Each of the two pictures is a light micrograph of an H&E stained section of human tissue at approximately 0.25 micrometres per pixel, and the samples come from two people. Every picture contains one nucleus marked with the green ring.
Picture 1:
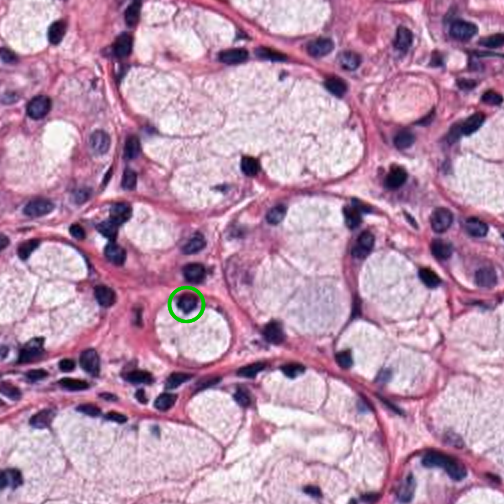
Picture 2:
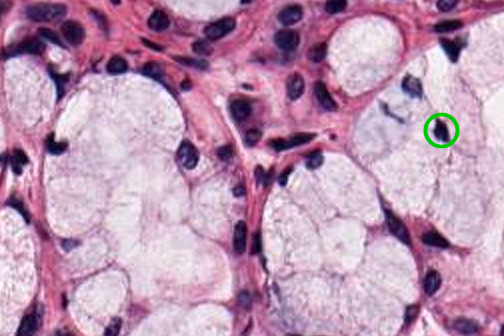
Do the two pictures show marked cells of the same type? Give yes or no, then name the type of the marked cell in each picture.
Yes, both are mucous gland cells.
